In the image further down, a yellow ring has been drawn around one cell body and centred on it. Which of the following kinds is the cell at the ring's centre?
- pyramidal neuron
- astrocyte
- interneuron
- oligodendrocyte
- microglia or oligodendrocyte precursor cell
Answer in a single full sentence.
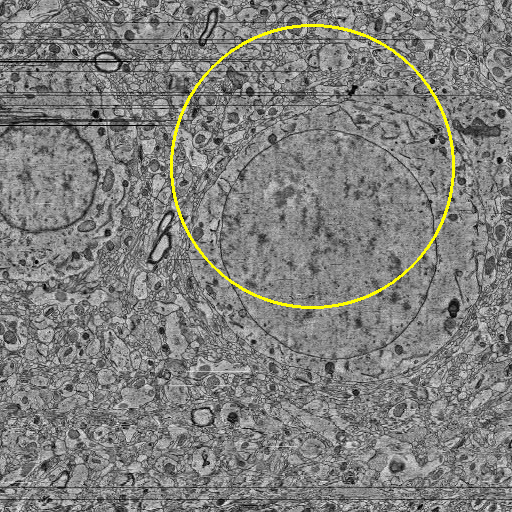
In the picture, the cell sitting at the centre of the yellow ring is a pyramidal neuron.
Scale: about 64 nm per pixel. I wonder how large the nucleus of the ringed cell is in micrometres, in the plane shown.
In this plane, approximately 15 micrometres across.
